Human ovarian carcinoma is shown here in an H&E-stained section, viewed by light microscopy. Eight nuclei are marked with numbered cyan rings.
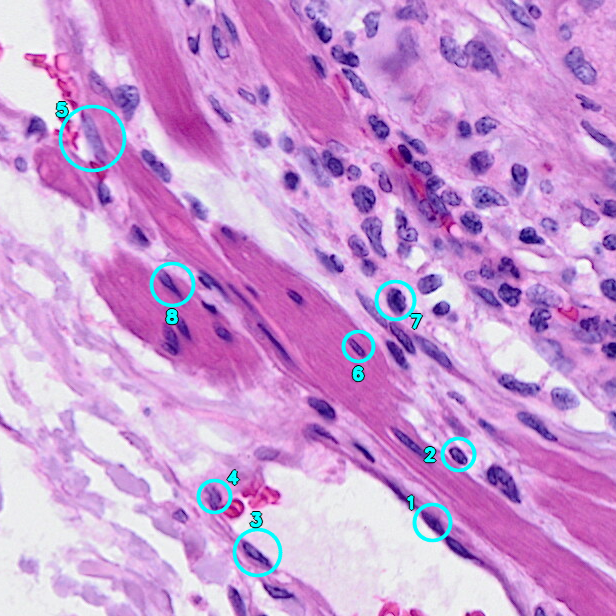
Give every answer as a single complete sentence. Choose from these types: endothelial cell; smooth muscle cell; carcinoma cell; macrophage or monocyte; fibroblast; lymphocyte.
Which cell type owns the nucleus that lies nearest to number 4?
Closest to number 4 lies the nucleus of a macrophage or monocyte.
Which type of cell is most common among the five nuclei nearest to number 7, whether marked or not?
Macrophages or monocytes account for more than half of the five nuclei nearest to number 7.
